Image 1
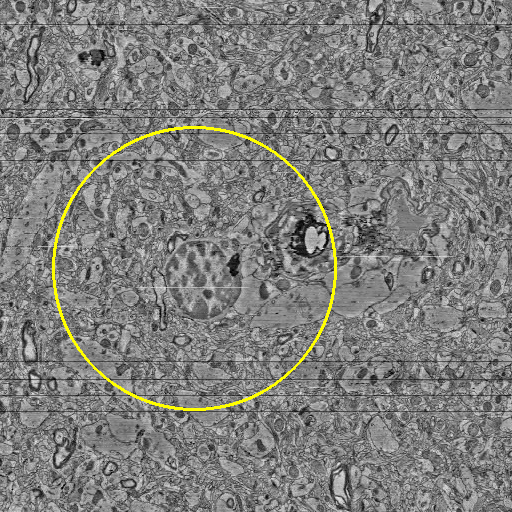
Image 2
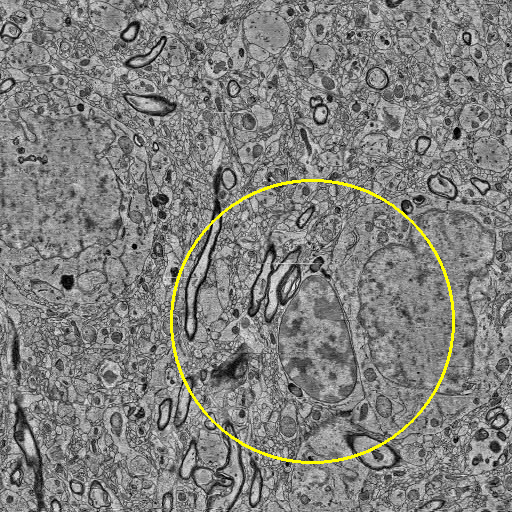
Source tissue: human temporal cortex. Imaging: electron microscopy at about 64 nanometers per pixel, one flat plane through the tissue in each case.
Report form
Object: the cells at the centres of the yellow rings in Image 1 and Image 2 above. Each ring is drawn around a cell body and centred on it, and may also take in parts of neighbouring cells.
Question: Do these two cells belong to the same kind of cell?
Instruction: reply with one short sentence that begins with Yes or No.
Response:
No, they belong to two kinds of cell.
